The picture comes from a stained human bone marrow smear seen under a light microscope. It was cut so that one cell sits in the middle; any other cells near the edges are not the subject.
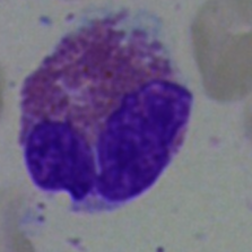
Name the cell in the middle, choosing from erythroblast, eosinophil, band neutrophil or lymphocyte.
eosinophil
